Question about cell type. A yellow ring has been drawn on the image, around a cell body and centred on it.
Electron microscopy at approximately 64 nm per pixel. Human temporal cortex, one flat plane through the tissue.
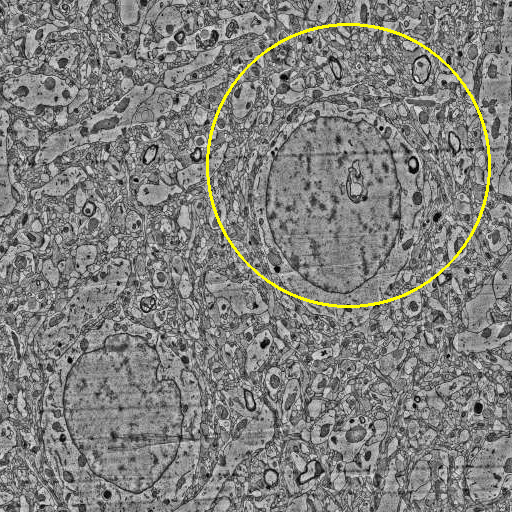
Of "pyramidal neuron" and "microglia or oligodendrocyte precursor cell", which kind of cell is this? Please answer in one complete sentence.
At the centre of the ring lies a pyramidal neuron.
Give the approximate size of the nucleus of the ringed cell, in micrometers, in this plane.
In this plane, roughly 11 by 9 micrometres.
